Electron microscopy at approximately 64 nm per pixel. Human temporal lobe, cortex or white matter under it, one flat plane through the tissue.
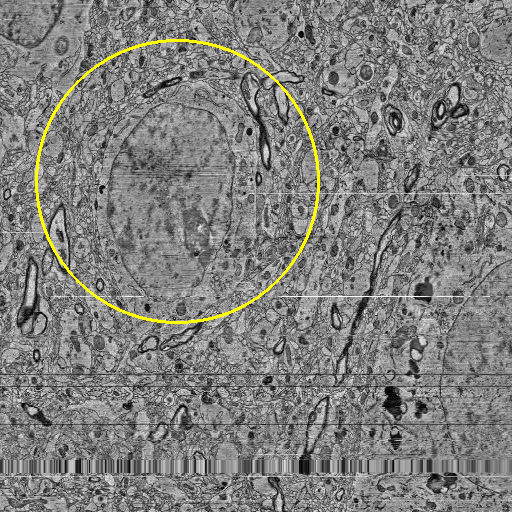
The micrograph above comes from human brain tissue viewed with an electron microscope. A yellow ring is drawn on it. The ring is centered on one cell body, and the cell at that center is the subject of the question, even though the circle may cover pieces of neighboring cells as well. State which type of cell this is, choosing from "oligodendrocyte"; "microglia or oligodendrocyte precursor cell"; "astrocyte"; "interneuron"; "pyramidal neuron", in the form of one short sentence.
The cell the ring is centered on is an interneuron.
